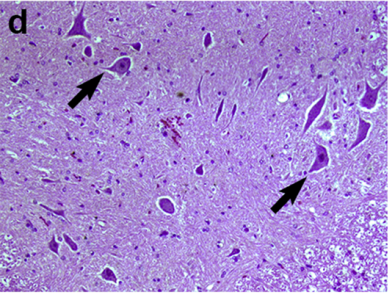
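Scattered through a pink, finely fibrillar grey matter are large, angular and triangular purple cell bodies with tapering processes, several with a rounded pale nucleus. Many much smaller dark nuclei lie between them in the neuropil. The large angular cells are the motor neurons of the ventral horn, and those marked appear viable, with their cell bodies intact.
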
